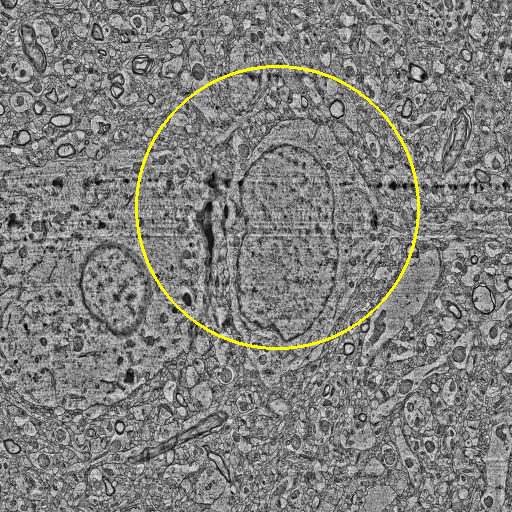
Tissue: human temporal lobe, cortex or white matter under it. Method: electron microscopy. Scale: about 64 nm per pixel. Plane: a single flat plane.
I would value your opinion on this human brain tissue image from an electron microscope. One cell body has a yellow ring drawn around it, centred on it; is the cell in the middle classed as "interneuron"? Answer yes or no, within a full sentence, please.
Yes, I would class the cell in the middle of the ring as that kind.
